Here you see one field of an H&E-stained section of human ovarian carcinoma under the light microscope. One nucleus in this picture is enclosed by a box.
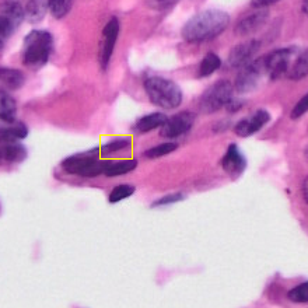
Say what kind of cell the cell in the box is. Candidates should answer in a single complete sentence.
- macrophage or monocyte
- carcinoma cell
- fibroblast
In cell-type terms, the cell in the box is a carcinoma cell.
